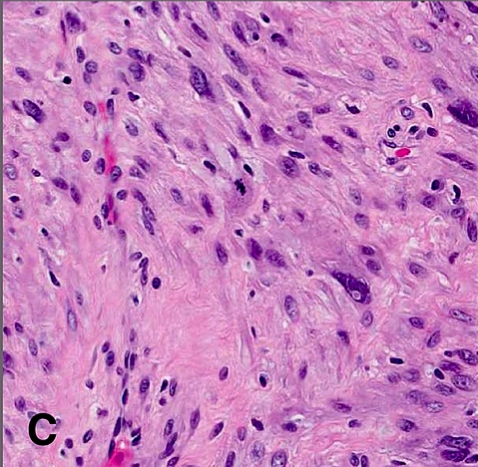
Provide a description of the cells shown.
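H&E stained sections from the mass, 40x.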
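Neoplastic spindle cells lie in loose bundles within a pink fibrillary stroma. Their nuclei are elongated to oval and vary in size, and several are large, irregular and darkly stained. Cytoplasm is pale pink with ill-defined borders, and a few small vessels with red blood cells run among the cells.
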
